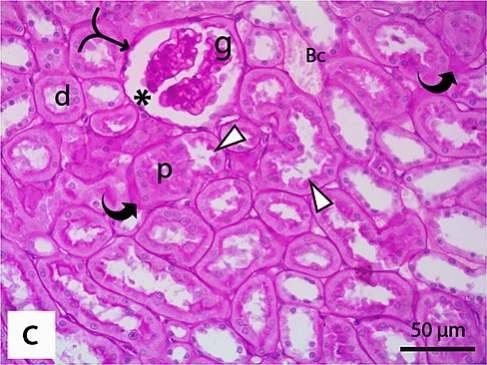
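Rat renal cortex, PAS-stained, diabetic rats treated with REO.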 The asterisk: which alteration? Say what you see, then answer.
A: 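The asterisk lies in a clear gap between the glomerular tuft and its capsule. The gap is broad around much of the tuft.
Answer: wide Bowman's space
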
